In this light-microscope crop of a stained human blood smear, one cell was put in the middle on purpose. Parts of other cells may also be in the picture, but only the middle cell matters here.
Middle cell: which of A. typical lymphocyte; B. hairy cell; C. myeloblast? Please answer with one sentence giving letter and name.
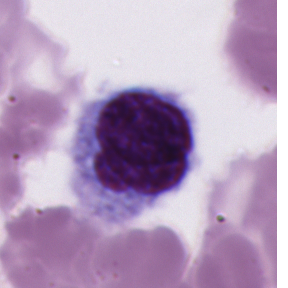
According to option B, which is correct, the cell in the middle is a hairy cell.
